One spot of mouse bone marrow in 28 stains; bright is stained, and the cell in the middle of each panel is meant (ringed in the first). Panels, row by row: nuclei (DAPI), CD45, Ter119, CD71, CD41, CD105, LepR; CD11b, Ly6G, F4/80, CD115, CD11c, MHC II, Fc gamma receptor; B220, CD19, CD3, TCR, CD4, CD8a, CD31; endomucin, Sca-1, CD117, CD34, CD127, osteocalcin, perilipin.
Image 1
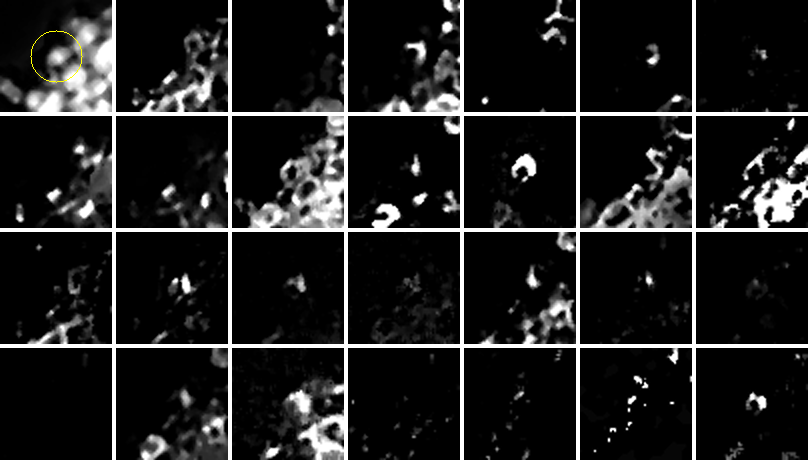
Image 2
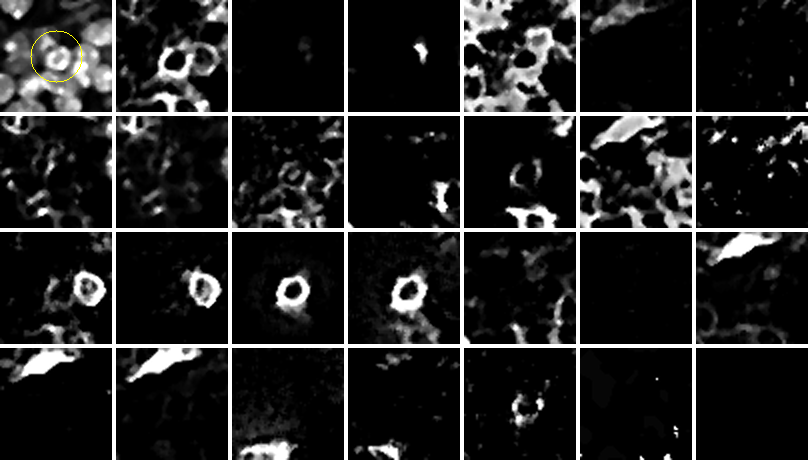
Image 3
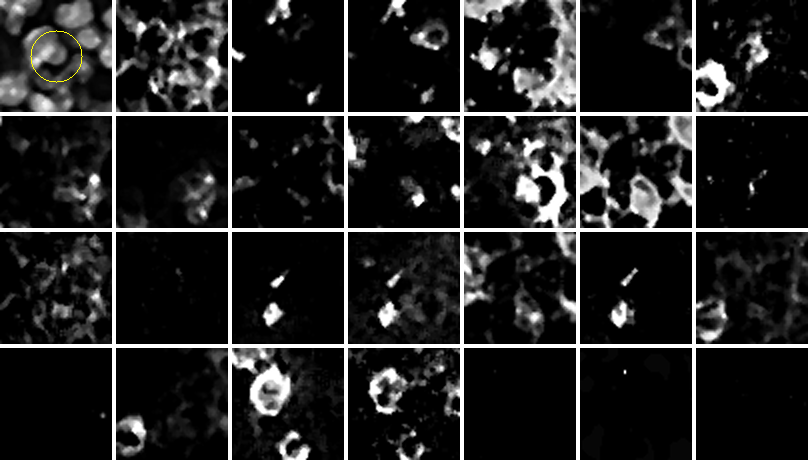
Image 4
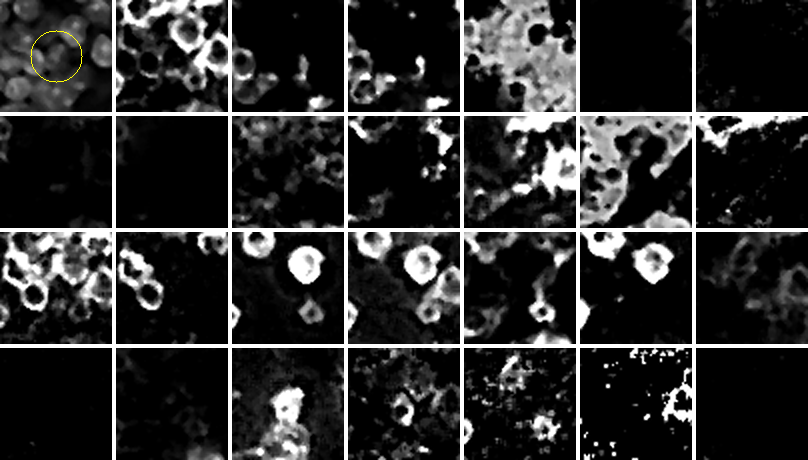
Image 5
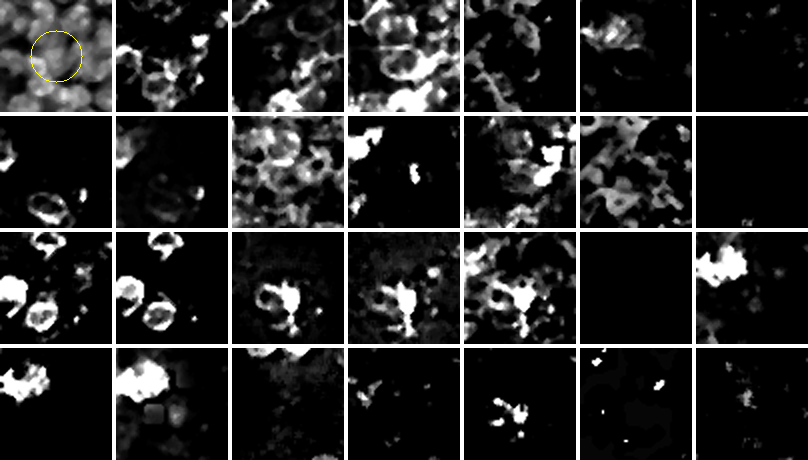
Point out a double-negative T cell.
That is picture 2.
